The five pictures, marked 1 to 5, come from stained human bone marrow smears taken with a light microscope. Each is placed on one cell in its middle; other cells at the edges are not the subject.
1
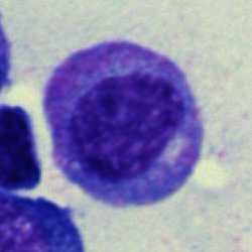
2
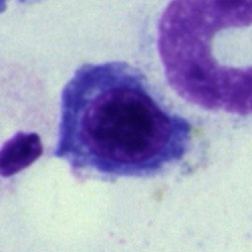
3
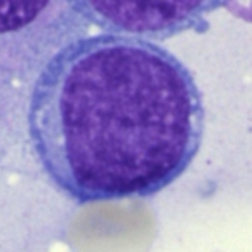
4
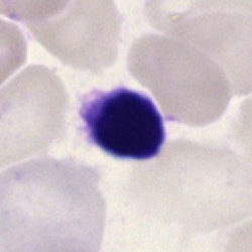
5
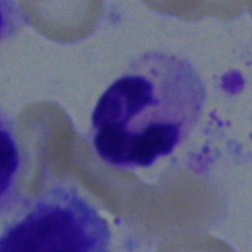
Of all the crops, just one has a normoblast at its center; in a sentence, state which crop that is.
Crop 2 is identified as the crop showing a normoblast.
